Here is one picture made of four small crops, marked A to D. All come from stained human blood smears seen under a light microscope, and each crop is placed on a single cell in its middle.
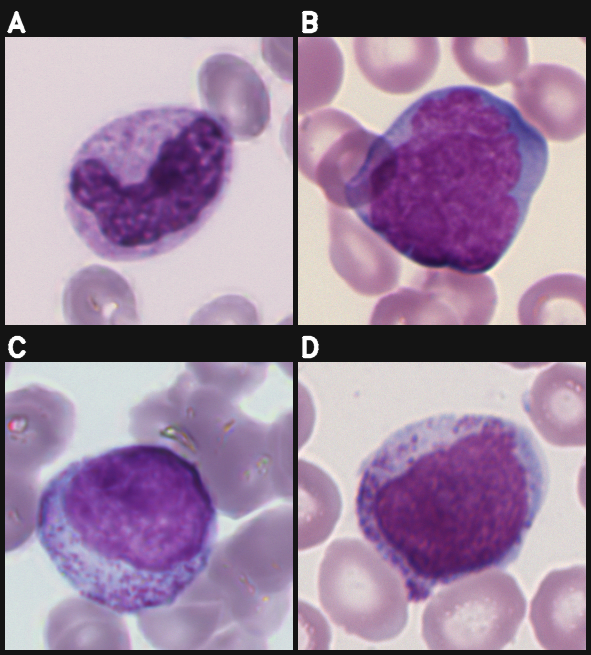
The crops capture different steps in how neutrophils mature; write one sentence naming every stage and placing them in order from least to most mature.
The sequence of maturation runs crop B (a myeloblast), crop D (a promyelocyte), crop C (a myelocyte) and crop A (a band neutrophil), from least to most mature.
